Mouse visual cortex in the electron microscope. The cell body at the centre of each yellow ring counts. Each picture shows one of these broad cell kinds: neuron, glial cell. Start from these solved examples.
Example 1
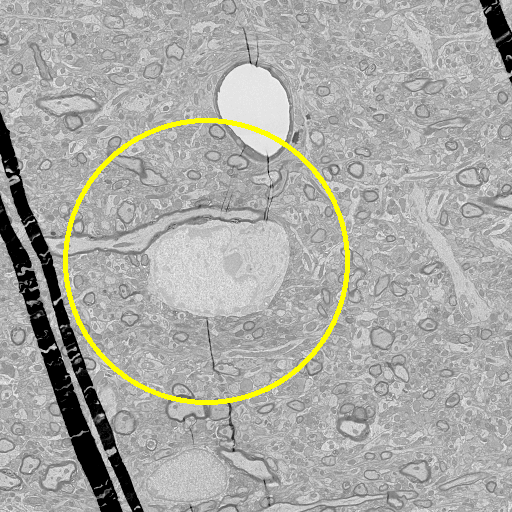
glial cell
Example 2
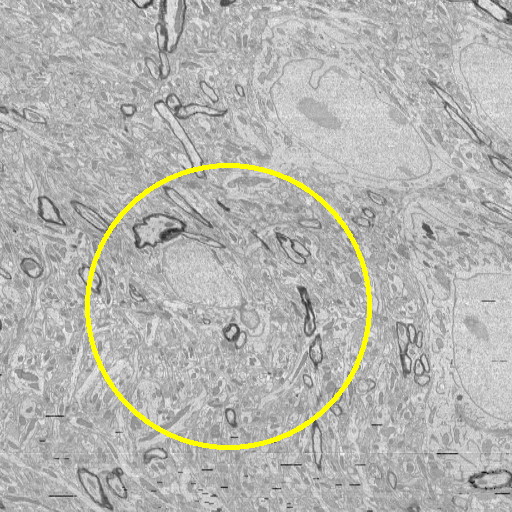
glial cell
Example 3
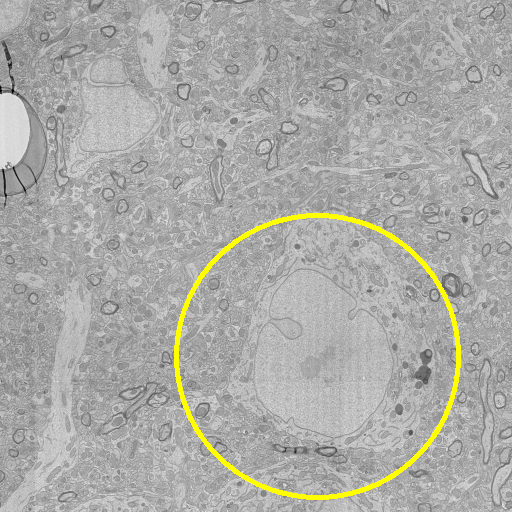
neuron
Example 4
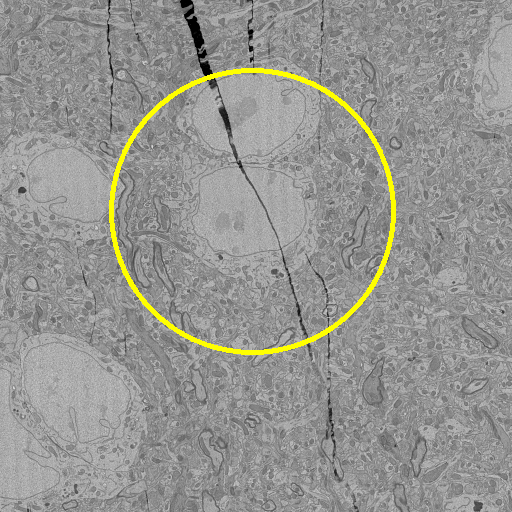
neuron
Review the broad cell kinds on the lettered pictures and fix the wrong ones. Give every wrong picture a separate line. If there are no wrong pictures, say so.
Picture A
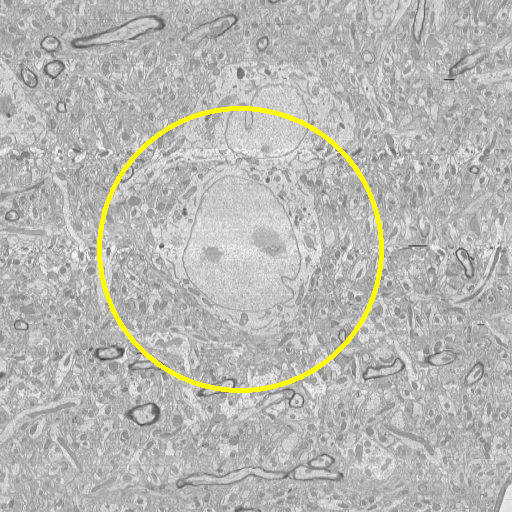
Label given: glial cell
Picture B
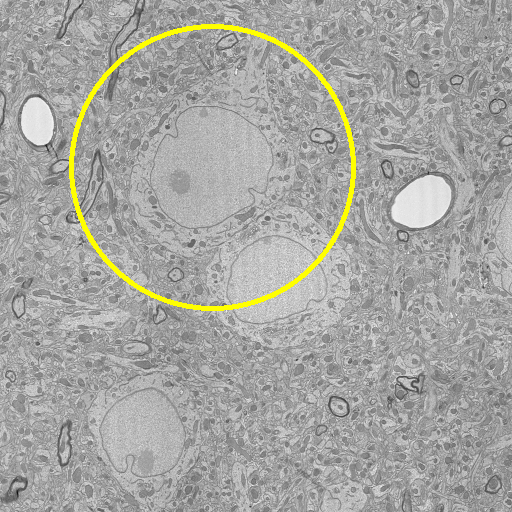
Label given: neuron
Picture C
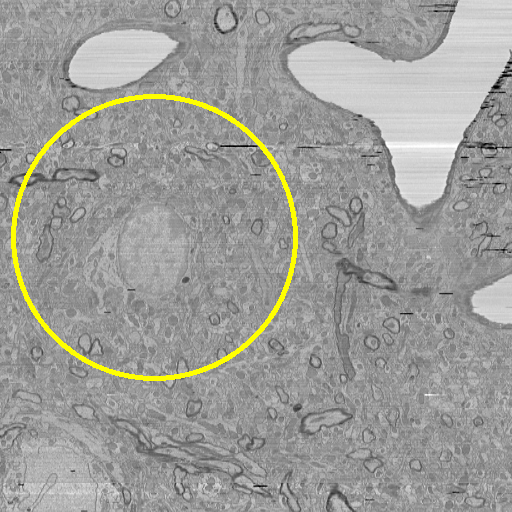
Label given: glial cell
Wrong: A (glial cell); correct: neuron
